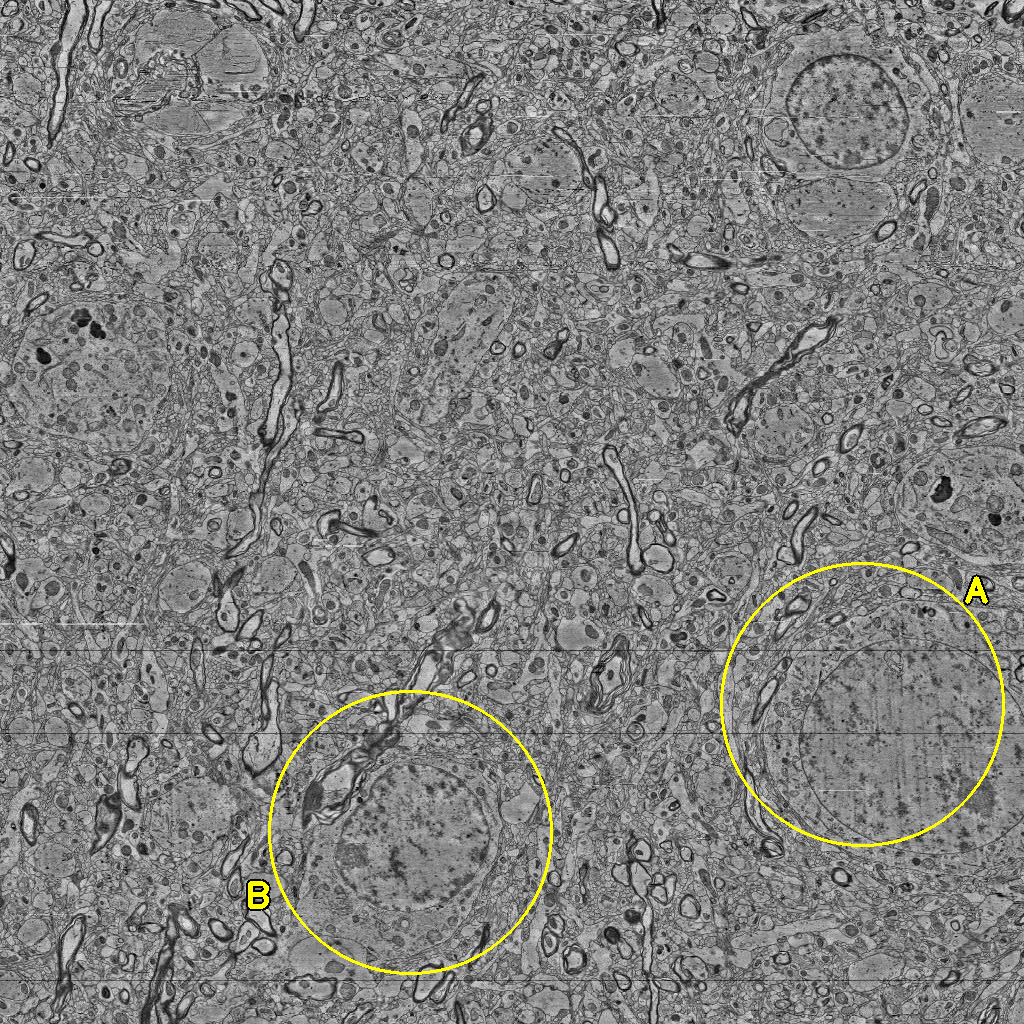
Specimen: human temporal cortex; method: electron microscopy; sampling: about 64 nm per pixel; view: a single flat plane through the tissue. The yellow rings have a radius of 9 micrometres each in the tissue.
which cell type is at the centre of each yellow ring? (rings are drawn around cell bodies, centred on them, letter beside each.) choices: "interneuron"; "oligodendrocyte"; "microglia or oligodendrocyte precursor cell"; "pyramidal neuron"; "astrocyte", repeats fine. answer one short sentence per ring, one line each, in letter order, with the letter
Ring A is a pyramidal neuron.
Ring B is an interneuron.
